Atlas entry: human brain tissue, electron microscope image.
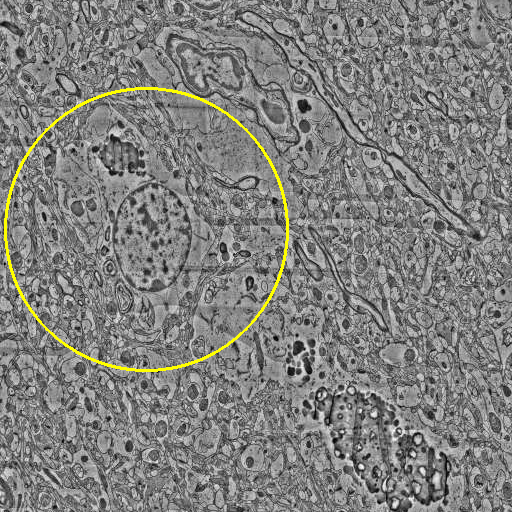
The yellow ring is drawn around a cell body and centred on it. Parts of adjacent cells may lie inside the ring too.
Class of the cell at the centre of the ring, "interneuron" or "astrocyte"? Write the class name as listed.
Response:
astrocyte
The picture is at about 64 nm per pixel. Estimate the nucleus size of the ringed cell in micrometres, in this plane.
In this plane, roughly 7 by 5 micrometres.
